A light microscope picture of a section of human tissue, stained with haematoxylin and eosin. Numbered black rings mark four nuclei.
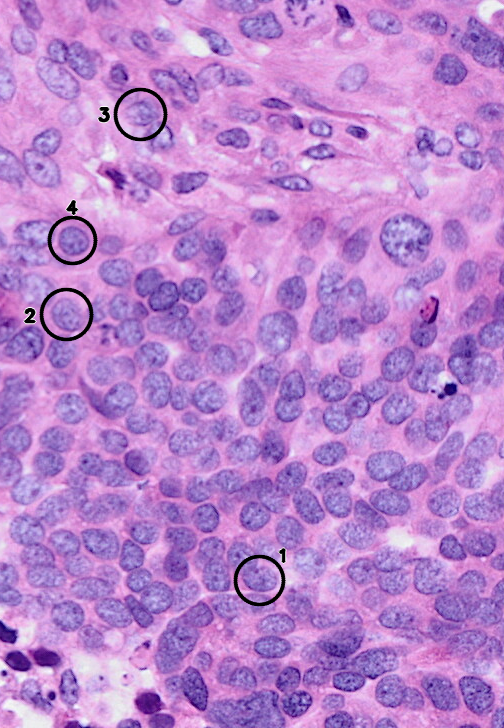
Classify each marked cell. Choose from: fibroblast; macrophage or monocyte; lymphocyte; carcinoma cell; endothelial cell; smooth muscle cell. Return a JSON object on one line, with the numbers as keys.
{"1": "carcinoma cell", "2": "carcinoma cell", "3": "fibroblast", "4": "carcinoma cell"}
